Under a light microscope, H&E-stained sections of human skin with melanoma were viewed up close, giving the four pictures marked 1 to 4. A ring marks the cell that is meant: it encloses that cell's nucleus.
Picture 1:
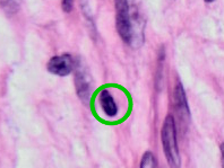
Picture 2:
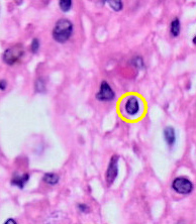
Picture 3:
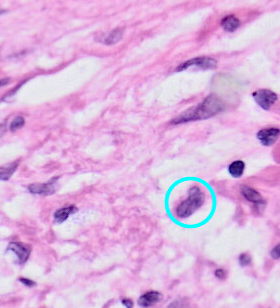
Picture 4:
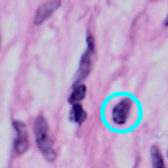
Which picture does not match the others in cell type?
3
